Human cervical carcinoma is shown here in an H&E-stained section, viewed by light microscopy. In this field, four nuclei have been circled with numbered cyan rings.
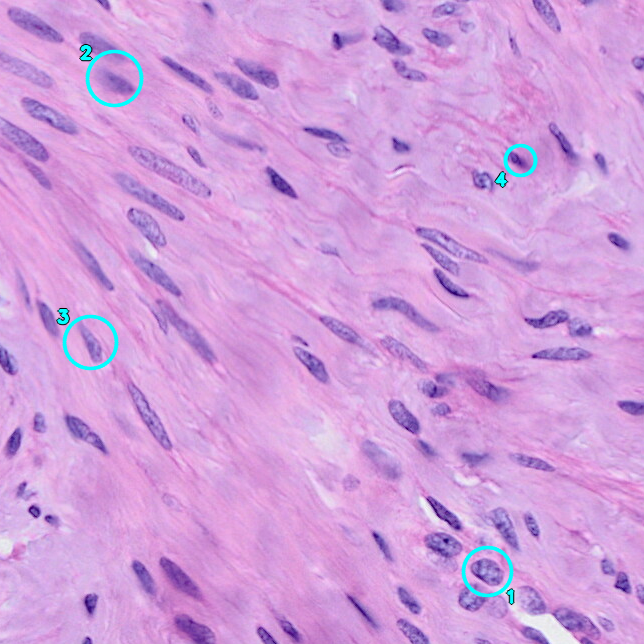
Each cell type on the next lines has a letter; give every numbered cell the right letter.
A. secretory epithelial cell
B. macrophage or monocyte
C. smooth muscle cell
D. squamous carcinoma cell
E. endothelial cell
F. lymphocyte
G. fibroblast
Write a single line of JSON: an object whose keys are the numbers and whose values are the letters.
{"1": "E", "2": "G", "3": "C", "4": "C"}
